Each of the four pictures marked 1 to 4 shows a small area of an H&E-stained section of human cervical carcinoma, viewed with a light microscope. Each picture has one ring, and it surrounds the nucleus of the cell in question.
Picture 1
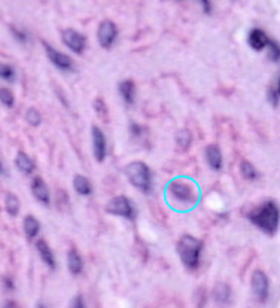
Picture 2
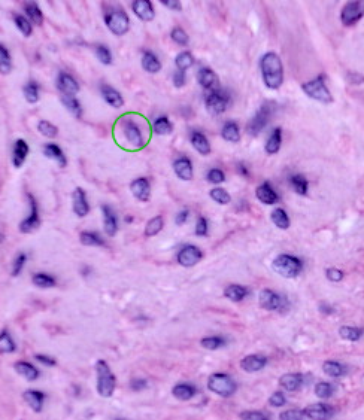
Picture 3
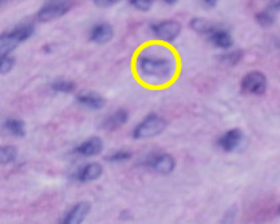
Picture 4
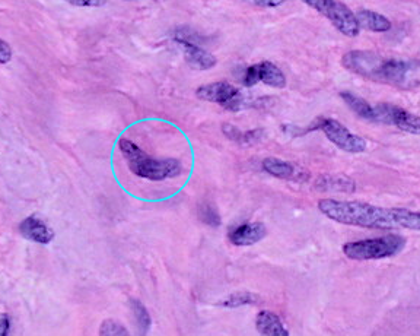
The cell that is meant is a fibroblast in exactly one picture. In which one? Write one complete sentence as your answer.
It is picture 4 that shows the fibroblast.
